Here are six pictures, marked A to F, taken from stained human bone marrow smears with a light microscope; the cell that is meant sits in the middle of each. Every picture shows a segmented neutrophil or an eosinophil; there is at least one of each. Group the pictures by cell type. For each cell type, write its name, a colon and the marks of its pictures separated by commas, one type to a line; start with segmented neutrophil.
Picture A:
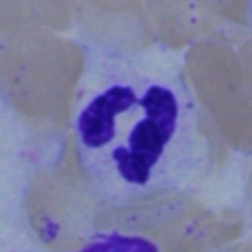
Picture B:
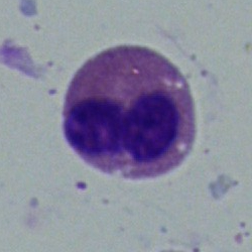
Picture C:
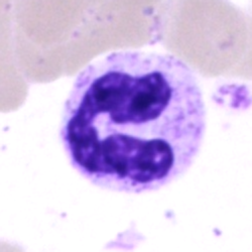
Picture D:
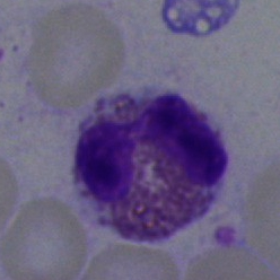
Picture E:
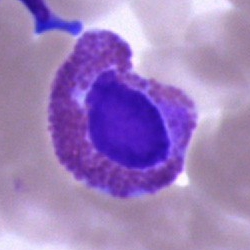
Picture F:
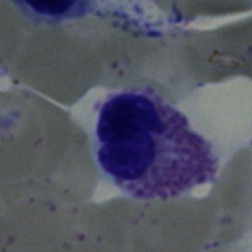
segmented neutrophil: A, C
eosinophil: B, D, E, F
